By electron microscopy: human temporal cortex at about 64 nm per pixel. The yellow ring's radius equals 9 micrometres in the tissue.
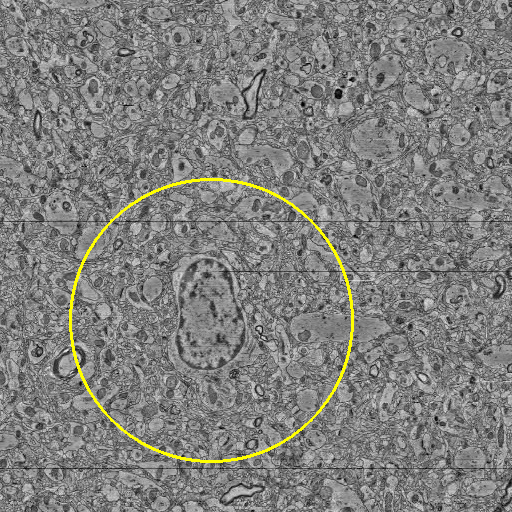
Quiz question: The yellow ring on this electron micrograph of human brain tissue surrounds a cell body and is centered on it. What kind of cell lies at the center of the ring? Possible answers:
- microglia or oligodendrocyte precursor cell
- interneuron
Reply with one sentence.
The ring's center lies on a microglial cell or oligodendrocyte precursor cell.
